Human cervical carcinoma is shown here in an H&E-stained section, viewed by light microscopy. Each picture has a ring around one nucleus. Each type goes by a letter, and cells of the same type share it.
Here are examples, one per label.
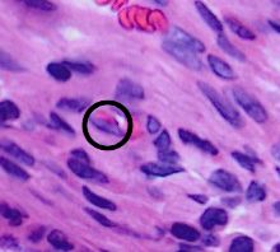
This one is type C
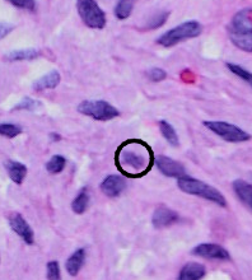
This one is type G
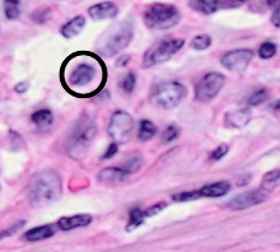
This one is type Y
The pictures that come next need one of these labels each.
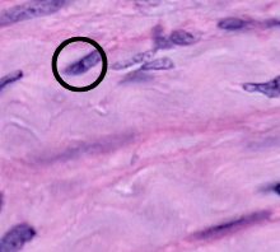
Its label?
type G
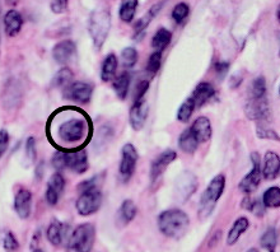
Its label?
type Y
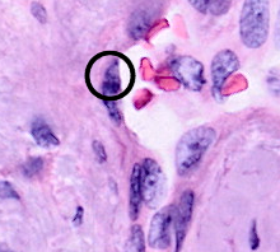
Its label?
type C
